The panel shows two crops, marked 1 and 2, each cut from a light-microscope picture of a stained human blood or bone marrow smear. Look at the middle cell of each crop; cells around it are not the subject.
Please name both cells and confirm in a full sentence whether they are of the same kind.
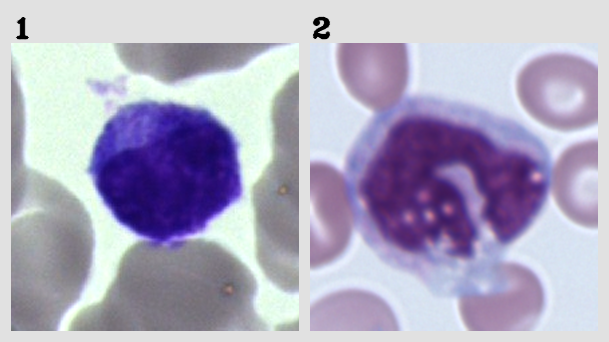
No, crop 1 matches a lymphocyte and crop 2 matches a monocyte.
